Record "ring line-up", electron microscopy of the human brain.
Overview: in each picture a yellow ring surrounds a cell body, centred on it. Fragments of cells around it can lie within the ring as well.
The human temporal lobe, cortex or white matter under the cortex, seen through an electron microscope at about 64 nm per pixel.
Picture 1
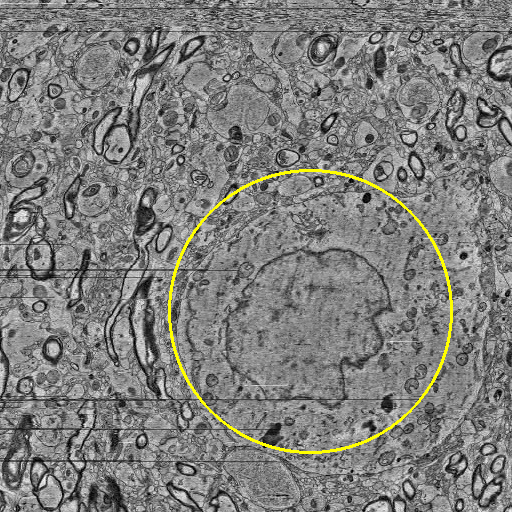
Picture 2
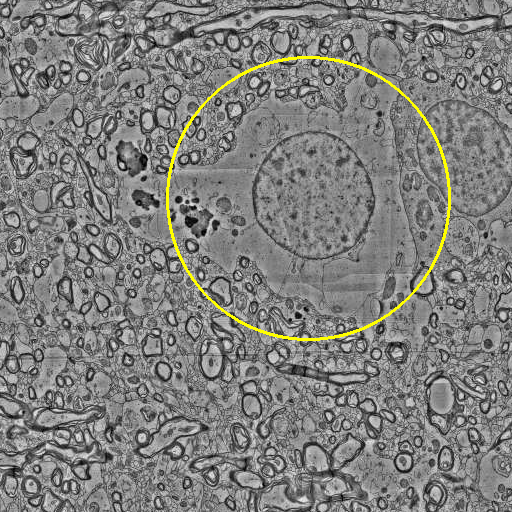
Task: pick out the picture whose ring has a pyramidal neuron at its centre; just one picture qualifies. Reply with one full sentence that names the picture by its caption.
Going by the cell at the ring's centre, the right choice is Picture 1.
